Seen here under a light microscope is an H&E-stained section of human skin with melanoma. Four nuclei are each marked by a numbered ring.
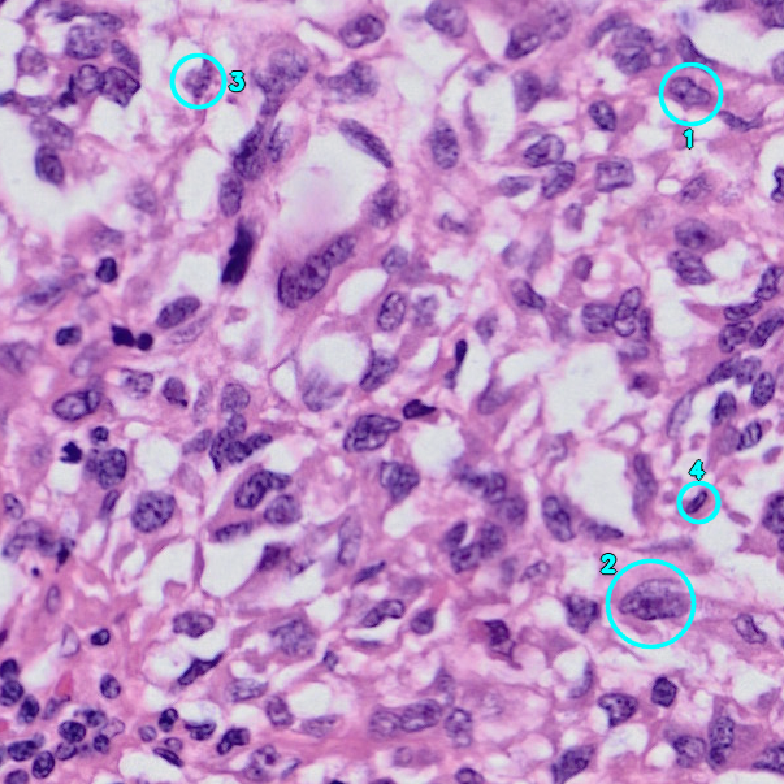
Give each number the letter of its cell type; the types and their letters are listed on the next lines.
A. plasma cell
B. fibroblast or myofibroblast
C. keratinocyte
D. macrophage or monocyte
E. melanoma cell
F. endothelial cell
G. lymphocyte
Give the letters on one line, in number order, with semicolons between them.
E; E; E; D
